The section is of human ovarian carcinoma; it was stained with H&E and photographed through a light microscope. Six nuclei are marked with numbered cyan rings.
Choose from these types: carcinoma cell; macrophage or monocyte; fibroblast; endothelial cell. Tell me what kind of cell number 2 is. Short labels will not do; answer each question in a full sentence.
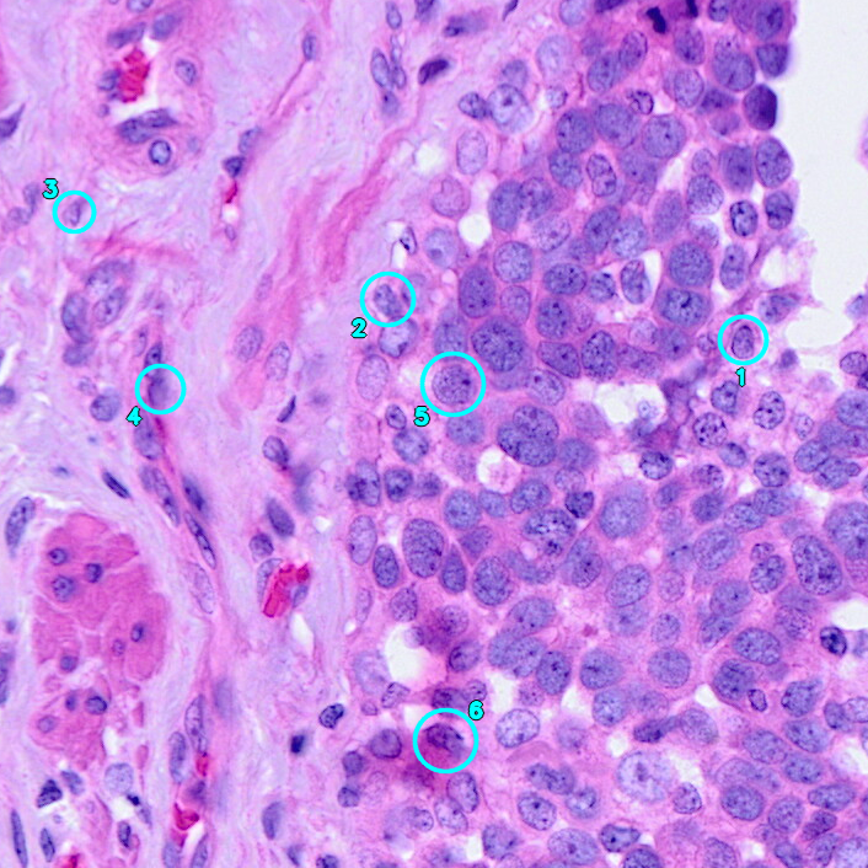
At number 2, the marked cell is a macrophage or monocyte.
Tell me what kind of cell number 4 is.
The cell that bears the number 4 is an endothelial cell.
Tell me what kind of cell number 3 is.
Classified as a fibroblast is the cell with the number 3.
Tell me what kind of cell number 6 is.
Heads up, the cell numbered 6 is a macrophage or monocyte.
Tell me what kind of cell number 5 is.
Looking at the numbered marks, cell 5 is a carcinoma cell.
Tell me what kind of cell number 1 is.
Number 1 among the marked cells is a macrophage or monocyte.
